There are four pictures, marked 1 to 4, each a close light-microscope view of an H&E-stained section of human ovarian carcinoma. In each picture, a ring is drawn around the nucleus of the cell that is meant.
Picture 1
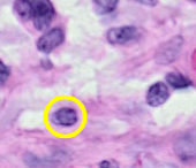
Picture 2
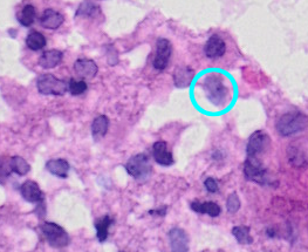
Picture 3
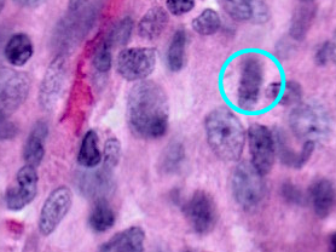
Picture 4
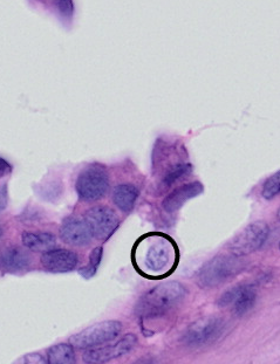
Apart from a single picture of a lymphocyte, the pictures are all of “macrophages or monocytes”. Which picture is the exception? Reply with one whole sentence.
Picture 1 is the one that shows the lymphocyte.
